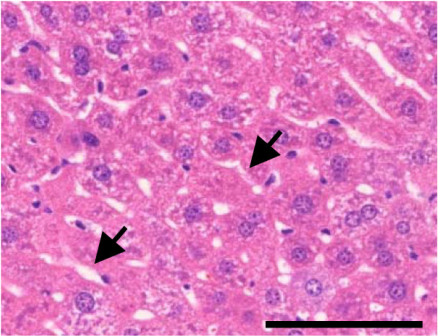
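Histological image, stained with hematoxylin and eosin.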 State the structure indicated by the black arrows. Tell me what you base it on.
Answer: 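The arrows point to thin white channels between pink cells. Flattened dark nuclei lie along the channel edges.
Hence: sinusoids.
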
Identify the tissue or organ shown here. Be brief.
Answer: Liver.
